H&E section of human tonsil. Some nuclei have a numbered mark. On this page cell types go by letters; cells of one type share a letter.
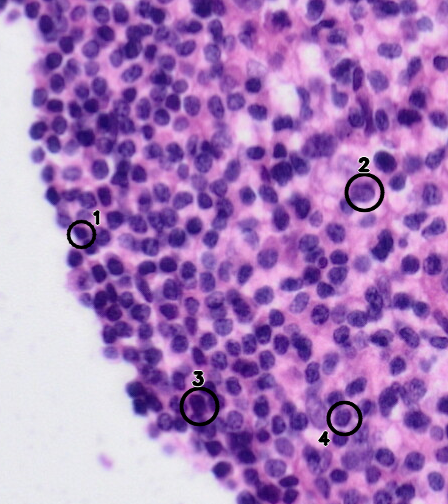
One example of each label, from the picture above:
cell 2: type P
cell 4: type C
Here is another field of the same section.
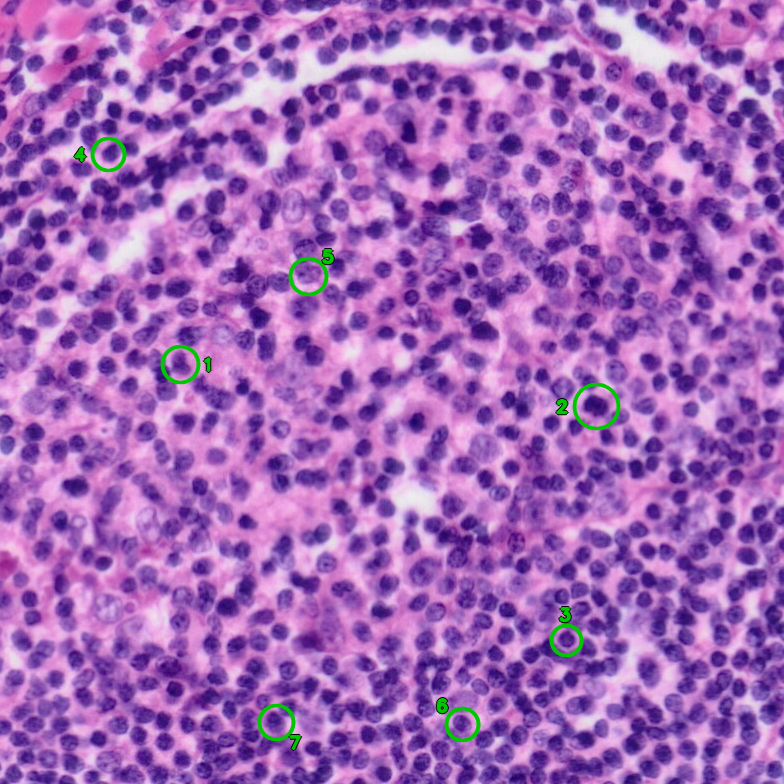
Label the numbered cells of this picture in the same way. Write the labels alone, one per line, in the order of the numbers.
type P
type P
type C
type C
type P
type C
type C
